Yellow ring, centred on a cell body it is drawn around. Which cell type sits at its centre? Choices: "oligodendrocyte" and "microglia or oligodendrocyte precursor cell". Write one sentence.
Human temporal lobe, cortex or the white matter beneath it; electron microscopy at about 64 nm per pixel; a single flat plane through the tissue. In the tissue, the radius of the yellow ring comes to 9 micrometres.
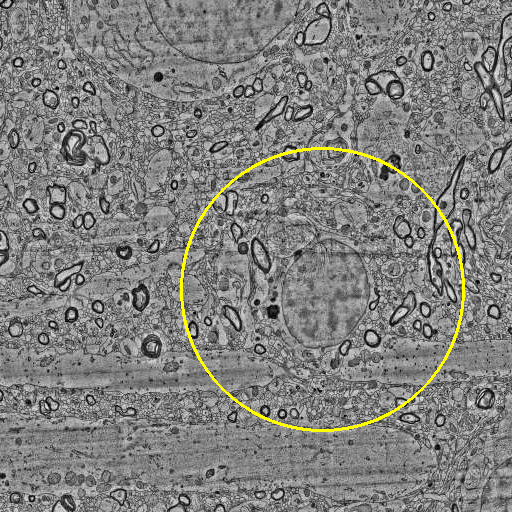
At the centre of the ring sits an oligodendrocyte.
